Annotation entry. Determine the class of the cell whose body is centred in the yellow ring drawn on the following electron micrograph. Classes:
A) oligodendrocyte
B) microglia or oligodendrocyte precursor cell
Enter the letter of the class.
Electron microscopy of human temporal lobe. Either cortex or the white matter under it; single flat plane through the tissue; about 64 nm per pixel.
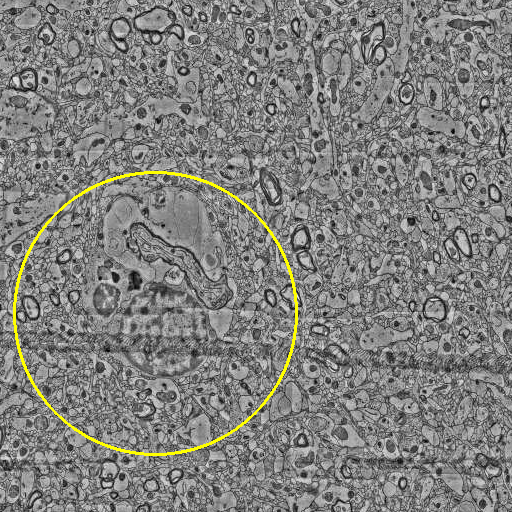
A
